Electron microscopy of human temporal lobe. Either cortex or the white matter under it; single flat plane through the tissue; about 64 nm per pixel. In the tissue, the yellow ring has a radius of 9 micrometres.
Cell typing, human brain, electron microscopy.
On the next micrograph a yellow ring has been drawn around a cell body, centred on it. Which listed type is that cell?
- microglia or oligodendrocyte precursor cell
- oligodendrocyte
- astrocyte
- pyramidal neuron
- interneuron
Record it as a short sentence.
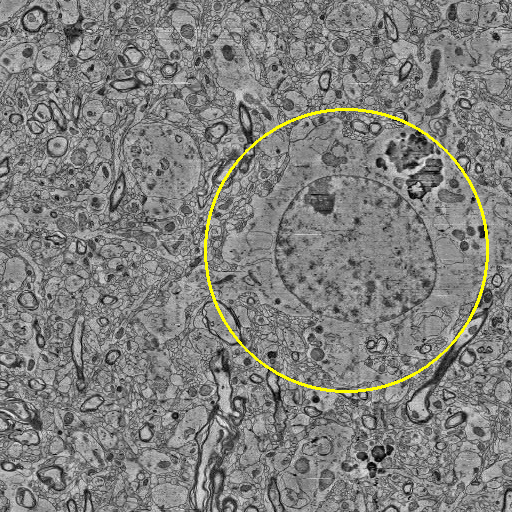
The cell body in the ring's centre belongs to an astrocyte.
